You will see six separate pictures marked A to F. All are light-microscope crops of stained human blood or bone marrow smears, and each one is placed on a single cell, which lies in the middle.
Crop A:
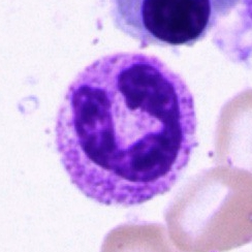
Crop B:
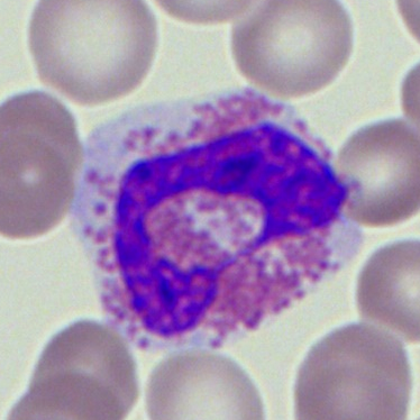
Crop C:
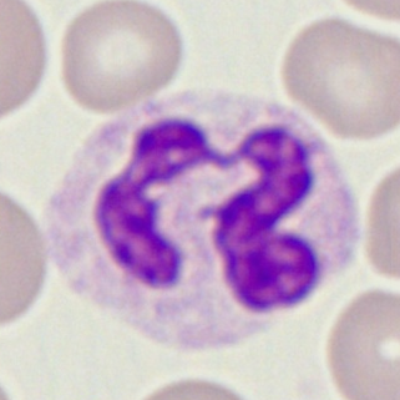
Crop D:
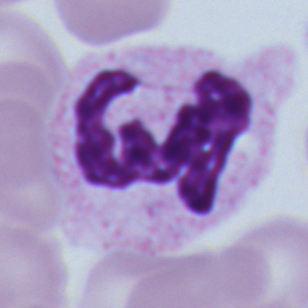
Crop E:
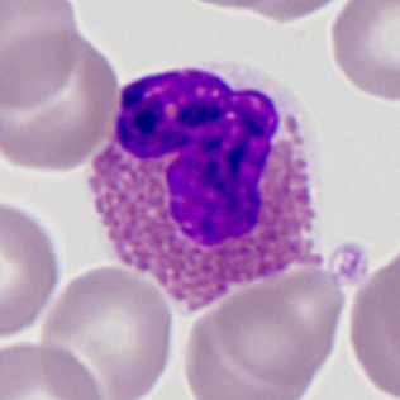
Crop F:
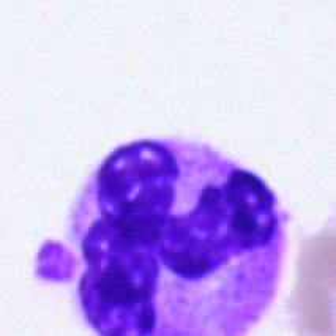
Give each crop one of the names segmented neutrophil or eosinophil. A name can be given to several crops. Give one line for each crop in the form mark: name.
A: segmented neutrophil
B: eosinophil
C: segmented neutrophil
D: segmented neutrophil
E: eosinophil
F: segmented neutrophil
